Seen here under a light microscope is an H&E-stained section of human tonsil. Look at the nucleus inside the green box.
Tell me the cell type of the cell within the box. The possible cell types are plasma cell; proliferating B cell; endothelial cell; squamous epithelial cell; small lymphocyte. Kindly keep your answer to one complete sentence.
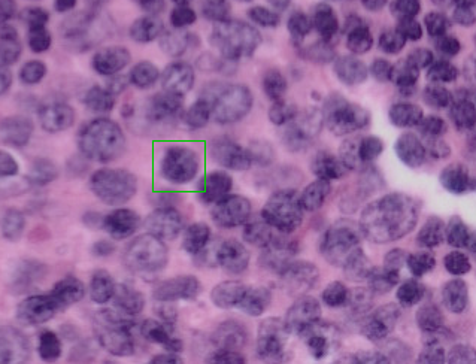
In this tissue section, the cell within the box is to be classed as a proliferating B cell.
